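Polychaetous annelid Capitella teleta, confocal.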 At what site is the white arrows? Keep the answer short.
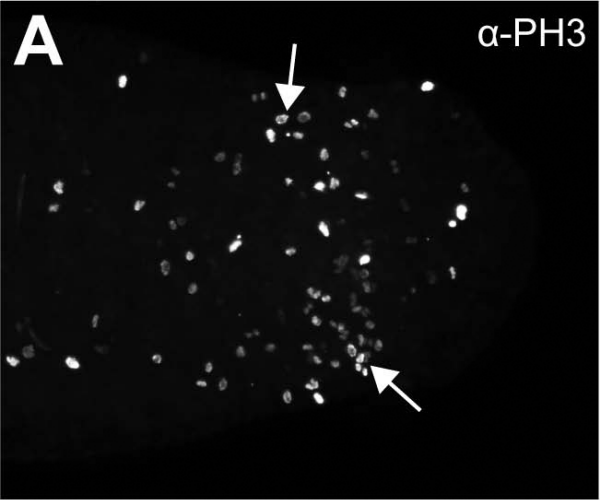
Localised region of high cell proliferation.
